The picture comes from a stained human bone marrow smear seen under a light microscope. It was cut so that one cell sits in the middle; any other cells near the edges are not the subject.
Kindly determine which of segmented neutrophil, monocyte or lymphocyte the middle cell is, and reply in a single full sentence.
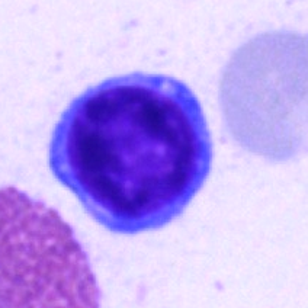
In this crop, the cell at the very middle is a lymphocyte.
